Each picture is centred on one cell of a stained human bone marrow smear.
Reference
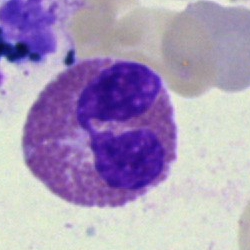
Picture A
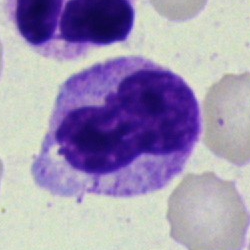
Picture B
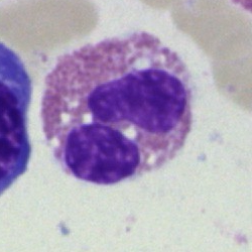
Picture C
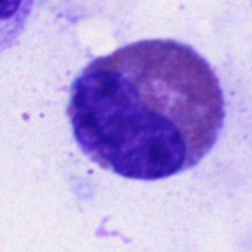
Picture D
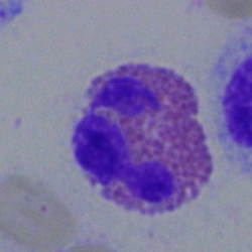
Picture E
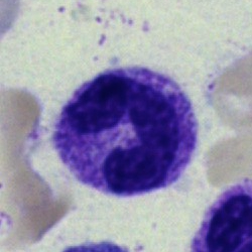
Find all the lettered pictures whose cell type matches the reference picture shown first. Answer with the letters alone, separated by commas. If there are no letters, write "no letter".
B, C, D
